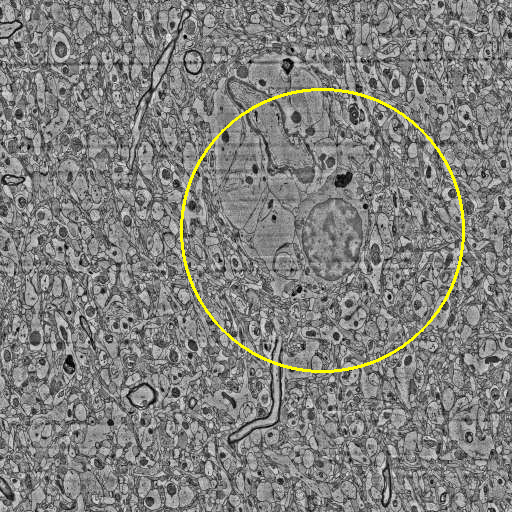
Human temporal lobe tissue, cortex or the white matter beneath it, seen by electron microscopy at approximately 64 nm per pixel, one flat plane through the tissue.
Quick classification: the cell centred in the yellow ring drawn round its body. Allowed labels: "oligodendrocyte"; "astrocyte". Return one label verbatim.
oligodendrocyte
